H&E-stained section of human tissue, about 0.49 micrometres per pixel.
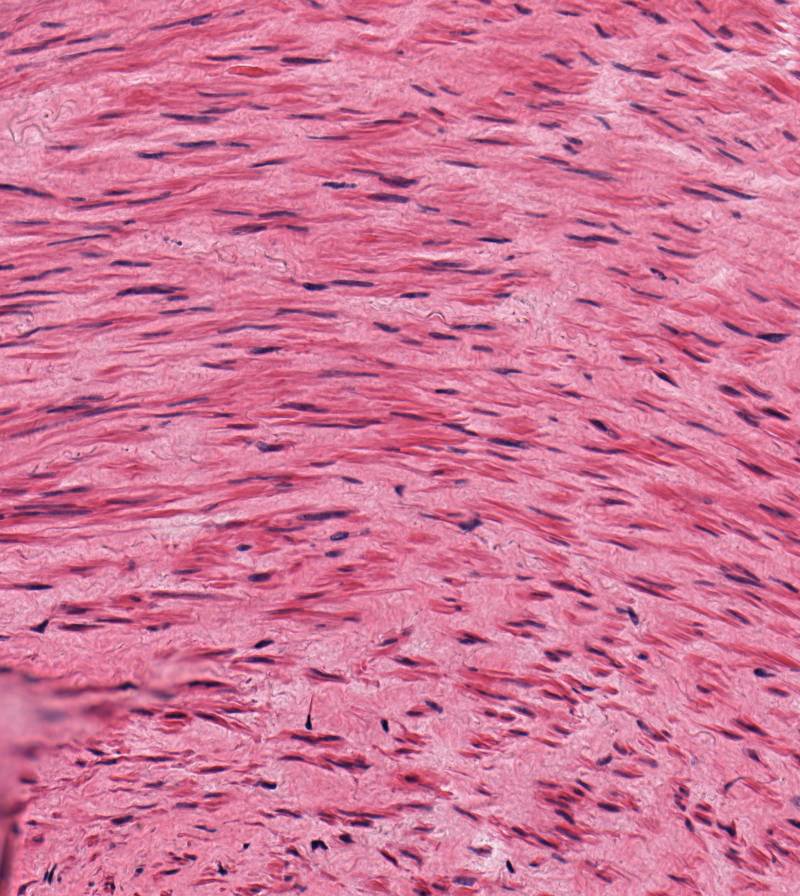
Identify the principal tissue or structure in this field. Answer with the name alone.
tunica media of an artery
